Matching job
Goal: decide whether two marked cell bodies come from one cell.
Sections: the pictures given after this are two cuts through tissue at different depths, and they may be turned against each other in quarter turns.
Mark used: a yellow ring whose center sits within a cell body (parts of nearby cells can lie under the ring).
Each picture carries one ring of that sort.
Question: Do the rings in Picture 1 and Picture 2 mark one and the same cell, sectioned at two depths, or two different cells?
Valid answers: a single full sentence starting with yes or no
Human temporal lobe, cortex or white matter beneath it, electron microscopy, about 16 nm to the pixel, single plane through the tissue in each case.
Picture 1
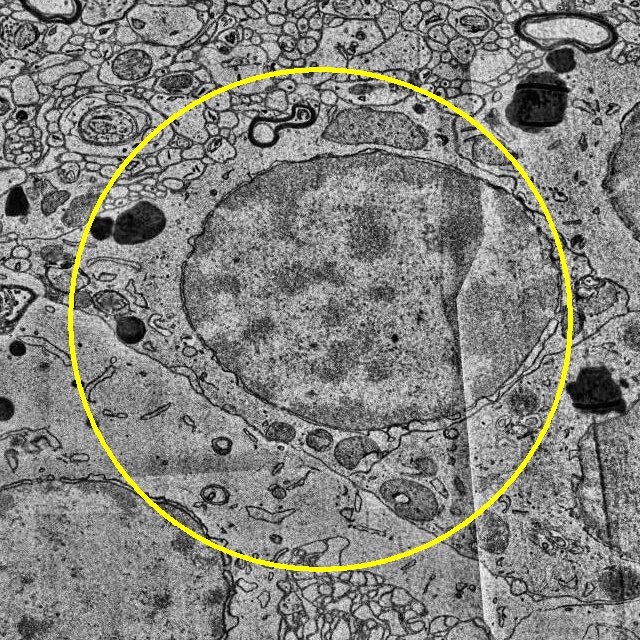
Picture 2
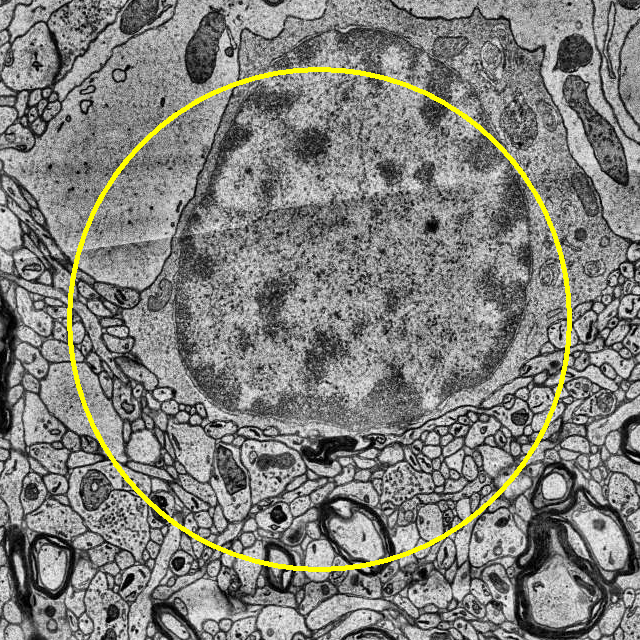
No, in this micrograph the two rings mark two different cells.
